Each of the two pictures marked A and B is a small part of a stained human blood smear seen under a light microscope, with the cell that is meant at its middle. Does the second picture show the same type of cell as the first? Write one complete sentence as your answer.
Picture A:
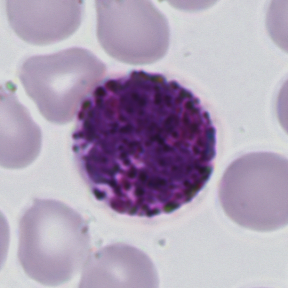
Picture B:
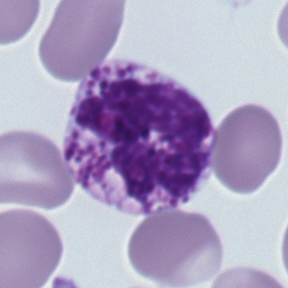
Yes, they are the same type: both are basophils.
